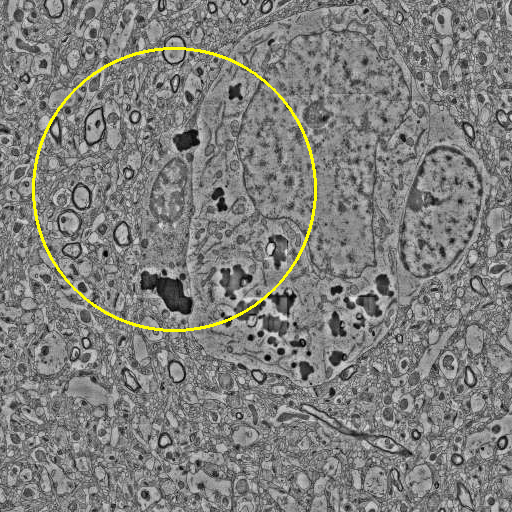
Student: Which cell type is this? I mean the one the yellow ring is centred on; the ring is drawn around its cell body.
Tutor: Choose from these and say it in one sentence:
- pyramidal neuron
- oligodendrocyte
The cell the ring is centred on is an oligodendrocyte.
